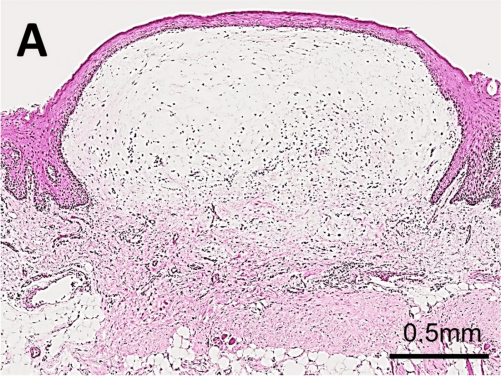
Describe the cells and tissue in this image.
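Low-power view of a mucosal surface with a well-localized, pale, mucous-like deposit beneath a thinned, deeply pink-staining squamous surface epithelium. The deposit forms a rounded, dome-shaped area of loose, sparsely cellular tissue with scattered small dark nuclei, bulging upward and stretching the overlying epithelium. At both sides the epithelium is thicker with rete ridges. Deeper stroma contains small vessels, and pale fat cells appear at the bottom.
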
